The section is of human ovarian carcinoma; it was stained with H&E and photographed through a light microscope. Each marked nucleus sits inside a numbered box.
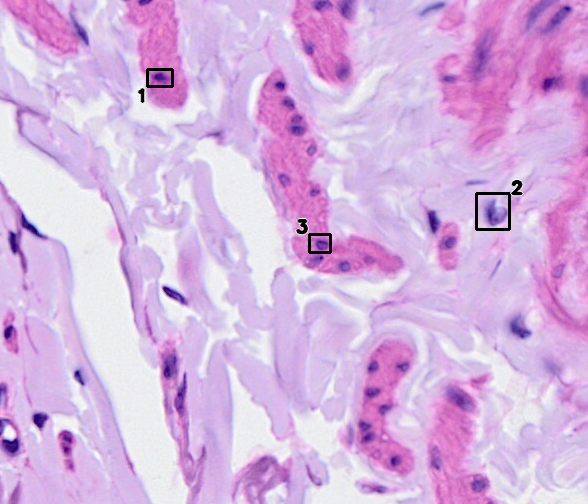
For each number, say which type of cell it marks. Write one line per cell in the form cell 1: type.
cell 1: smooth muscle cell
cell 2: fibroblast
cell 3: smooth muscle cell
